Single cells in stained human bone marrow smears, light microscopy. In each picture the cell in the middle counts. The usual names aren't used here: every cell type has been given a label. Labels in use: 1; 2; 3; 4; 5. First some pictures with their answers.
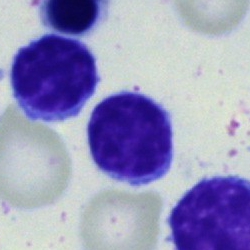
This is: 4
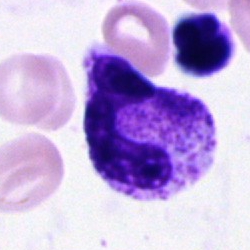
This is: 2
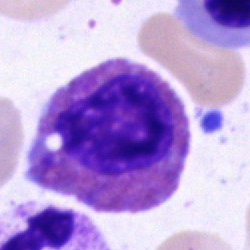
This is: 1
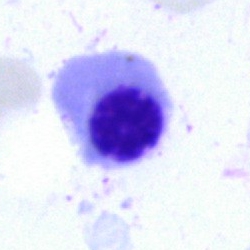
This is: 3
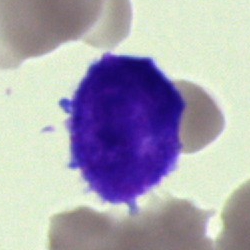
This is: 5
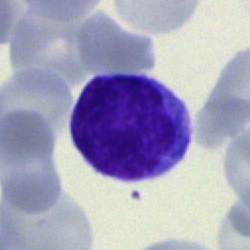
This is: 4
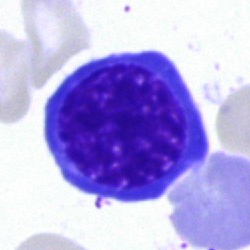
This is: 3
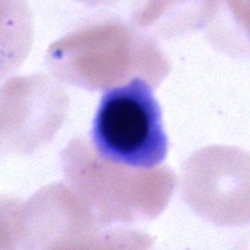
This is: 3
